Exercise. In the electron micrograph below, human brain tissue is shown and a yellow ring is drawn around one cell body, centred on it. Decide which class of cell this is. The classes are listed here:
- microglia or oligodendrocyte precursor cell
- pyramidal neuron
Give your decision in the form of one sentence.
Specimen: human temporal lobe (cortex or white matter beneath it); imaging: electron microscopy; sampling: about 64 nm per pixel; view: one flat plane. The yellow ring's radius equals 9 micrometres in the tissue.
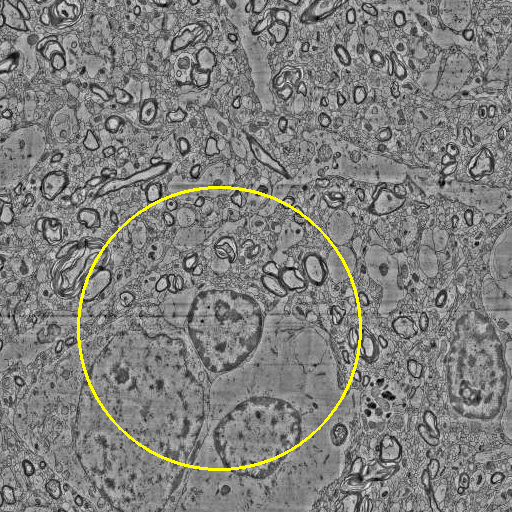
The cell body marked by the ring belongs to a microglial cell or oligodendrocyte precursor cell.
